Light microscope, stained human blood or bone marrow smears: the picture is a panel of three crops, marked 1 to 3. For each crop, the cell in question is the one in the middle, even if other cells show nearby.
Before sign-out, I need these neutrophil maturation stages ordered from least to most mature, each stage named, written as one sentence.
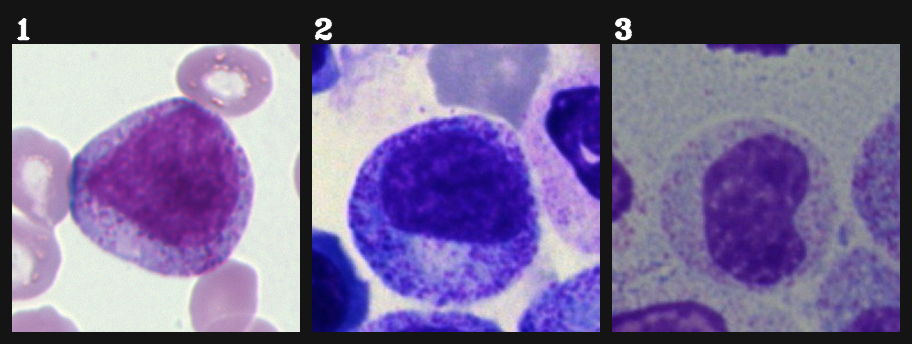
Ranked from least to most mature, the sequence is crop 1 (a promyelocyte), crop 2 (a myelocyte) and crop 3 (a metamyelocyte).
